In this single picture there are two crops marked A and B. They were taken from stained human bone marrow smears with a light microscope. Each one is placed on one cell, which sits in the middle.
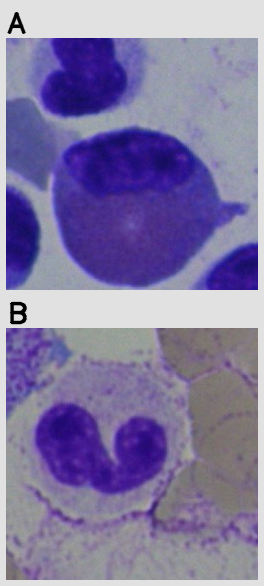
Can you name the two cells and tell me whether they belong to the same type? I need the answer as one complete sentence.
No, just to correct that: crop A shows an eosinophil, crop B shows a band neutrophil.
